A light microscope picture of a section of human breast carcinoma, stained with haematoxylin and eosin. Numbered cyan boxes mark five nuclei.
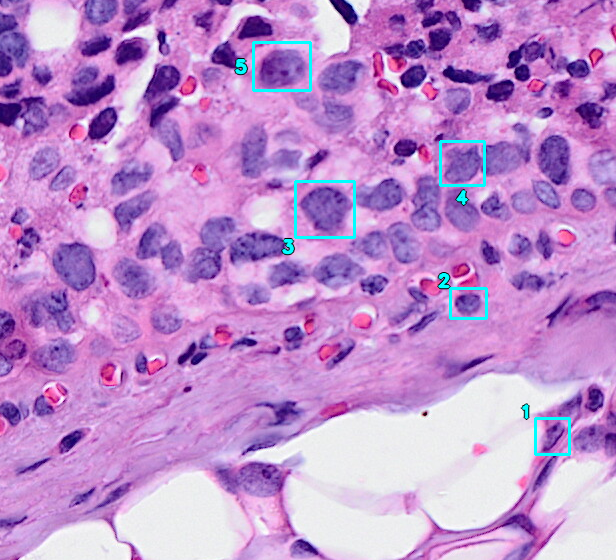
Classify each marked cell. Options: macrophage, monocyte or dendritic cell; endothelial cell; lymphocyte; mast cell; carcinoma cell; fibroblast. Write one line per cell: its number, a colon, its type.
1: endothelial cell
2: endothelial cell
3: carcinoma cell
4: carcinoma cell
5: carcinoma cell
